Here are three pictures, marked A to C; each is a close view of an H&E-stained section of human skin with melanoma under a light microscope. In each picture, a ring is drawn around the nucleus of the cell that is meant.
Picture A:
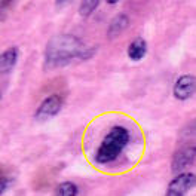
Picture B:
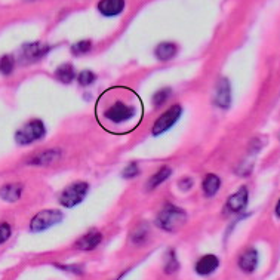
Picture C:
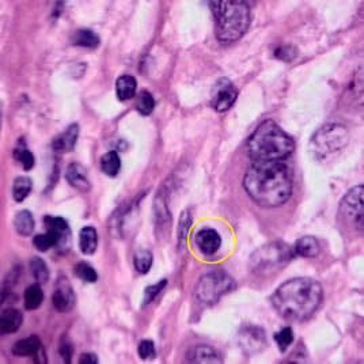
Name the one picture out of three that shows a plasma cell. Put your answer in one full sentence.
The cell in picture A is the plasma cell.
